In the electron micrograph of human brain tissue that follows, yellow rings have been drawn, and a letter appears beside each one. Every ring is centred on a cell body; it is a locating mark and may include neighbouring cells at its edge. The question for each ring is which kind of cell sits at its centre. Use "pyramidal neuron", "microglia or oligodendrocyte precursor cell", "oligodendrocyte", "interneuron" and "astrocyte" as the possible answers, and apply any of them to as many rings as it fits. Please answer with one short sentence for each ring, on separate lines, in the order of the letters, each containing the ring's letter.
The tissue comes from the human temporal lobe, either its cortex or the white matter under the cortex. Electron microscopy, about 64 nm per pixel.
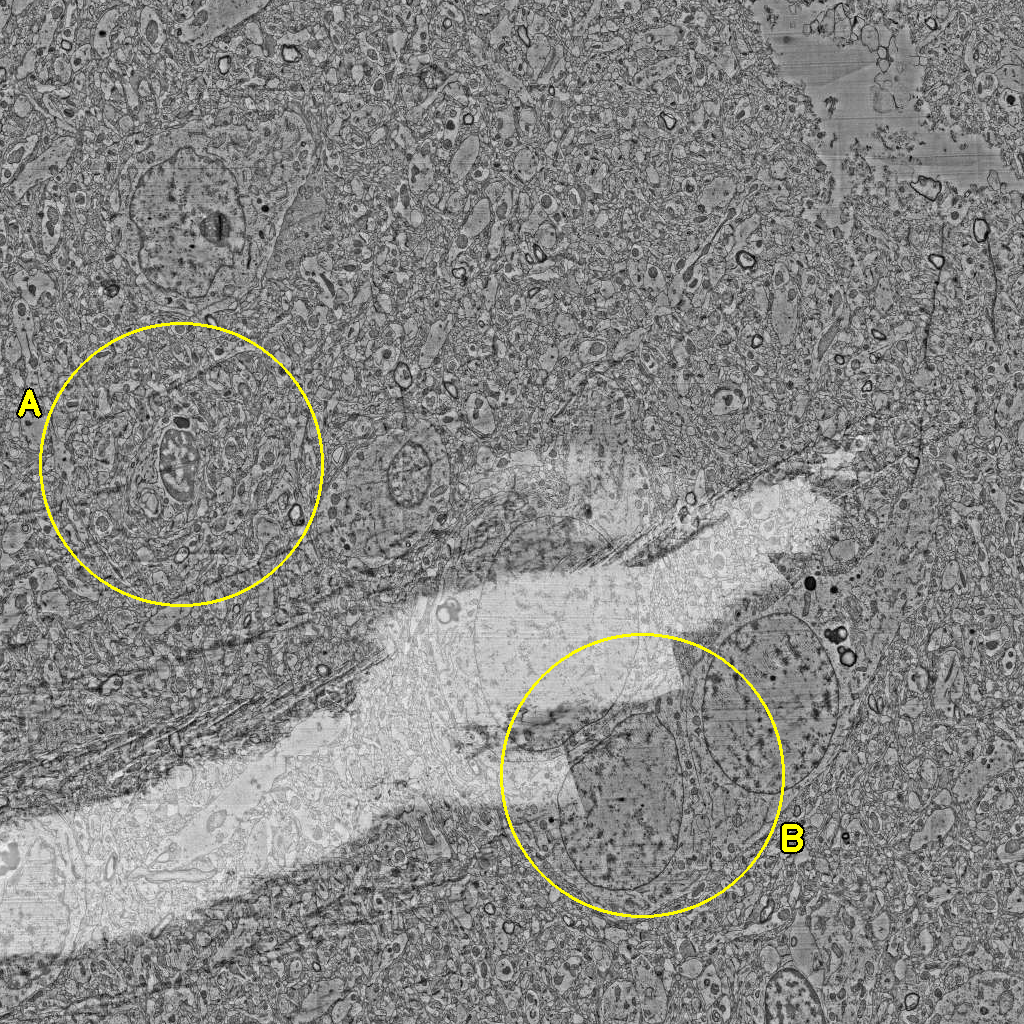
Sitting at the centre of ring A is a microglial cell or oligodendrocyte precursor cell.
Sitting at the centre of ring B is a pyramidal neuron.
